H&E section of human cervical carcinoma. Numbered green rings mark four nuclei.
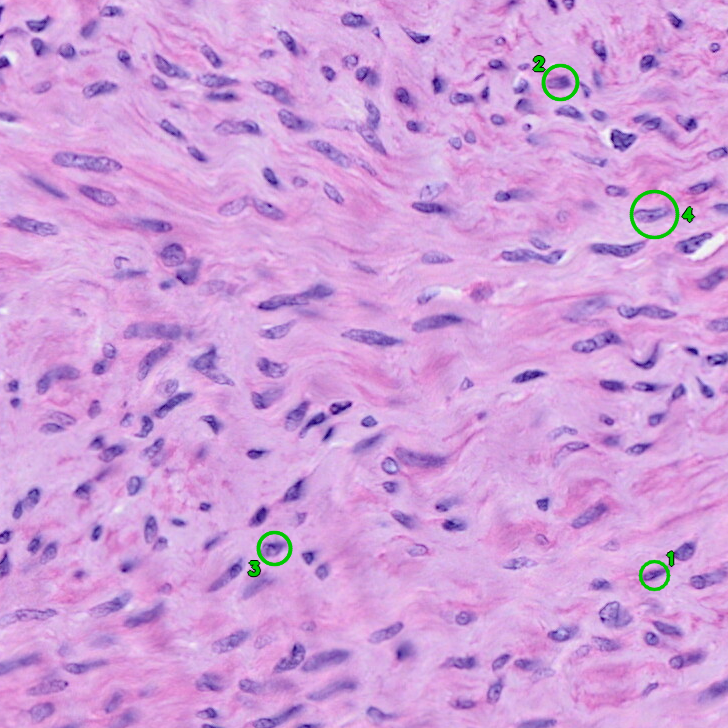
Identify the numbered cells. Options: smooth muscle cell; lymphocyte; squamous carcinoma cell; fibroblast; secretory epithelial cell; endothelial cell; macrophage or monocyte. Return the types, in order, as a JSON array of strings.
["smooth muscle cell", "smooth muscle cell", "fibroblast", "smooth muscle cell"]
